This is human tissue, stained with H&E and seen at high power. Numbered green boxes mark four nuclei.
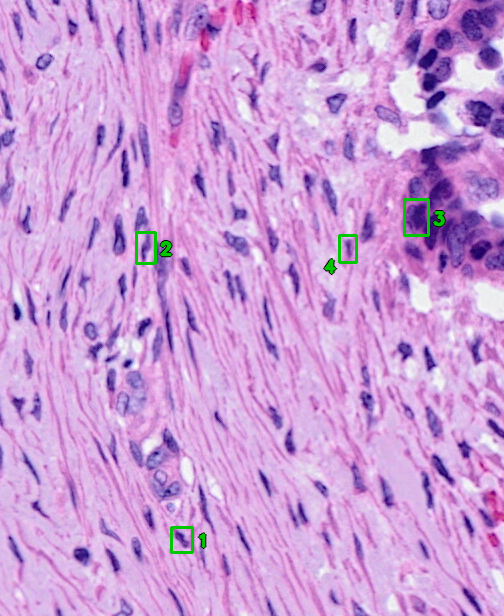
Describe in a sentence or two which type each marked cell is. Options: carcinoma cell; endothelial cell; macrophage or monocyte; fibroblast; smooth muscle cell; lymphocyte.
Cell 1 is a fibroblast, cell 2 is a fibroblast, cell 3 is a carcinoma cell and cell 4 is a fibroblast.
